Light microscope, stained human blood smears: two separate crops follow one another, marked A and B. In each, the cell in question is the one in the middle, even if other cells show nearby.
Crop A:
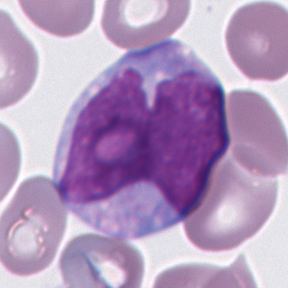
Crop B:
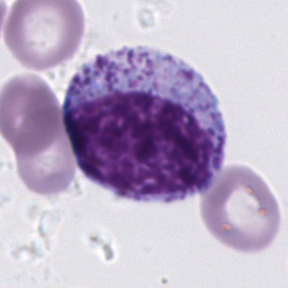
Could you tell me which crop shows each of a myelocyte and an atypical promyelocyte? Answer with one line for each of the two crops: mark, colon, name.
A: atypical promyelocyte
B: myelocyte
